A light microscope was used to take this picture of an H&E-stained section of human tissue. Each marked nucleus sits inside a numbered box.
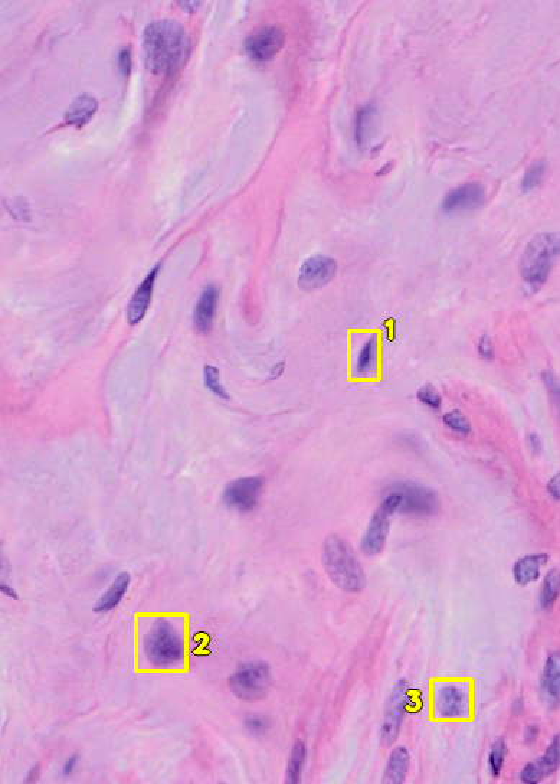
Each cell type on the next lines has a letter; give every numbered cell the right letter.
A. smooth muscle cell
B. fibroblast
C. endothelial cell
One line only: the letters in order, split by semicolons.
B; B; A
